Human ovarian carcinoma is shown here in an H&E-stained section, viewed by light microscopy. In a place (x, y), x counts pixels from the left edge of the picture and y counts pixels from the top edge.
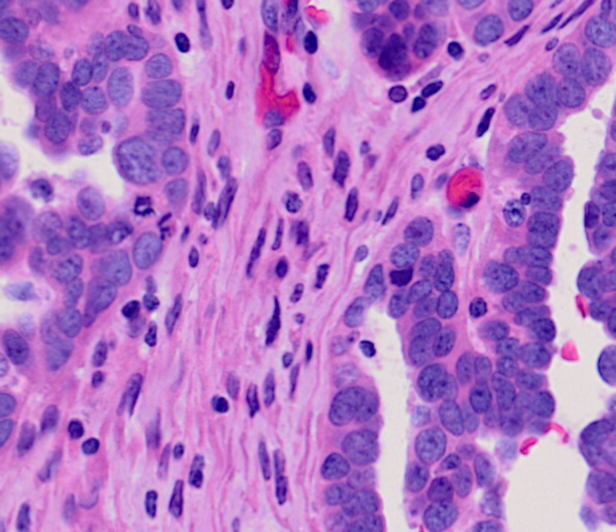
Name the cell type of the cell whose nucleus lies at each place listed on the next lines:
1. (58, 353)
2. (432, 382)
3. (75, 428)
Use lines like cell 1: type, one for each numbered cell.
cell 1: carcinoma cell
cell 2: carcinoma cell
cell 3: lymphocyte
